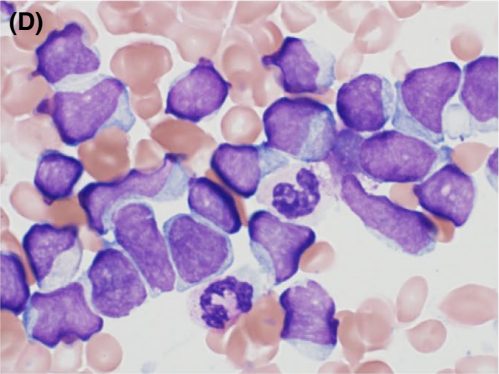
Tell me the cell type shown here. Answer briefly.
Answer: Blasts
